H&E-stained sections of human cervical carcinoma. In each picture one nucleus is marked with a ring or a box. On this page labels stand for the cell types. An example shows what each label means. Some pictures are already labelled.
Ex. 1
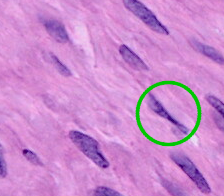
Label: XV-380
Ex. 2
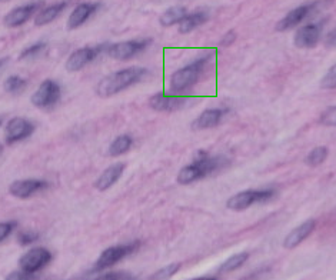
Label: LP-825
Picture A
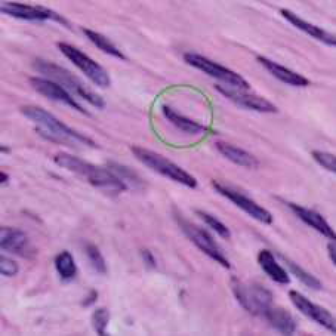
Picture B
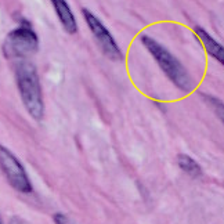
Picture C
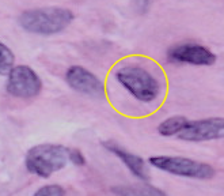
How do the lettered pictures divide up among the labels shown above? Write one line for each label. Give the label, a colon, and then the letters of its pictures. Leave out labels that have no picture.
XV-380: A, B, C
